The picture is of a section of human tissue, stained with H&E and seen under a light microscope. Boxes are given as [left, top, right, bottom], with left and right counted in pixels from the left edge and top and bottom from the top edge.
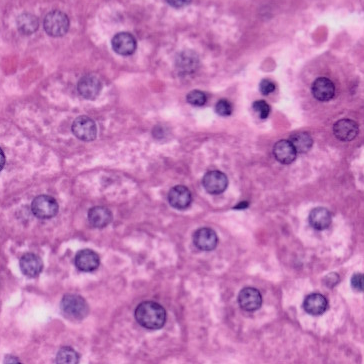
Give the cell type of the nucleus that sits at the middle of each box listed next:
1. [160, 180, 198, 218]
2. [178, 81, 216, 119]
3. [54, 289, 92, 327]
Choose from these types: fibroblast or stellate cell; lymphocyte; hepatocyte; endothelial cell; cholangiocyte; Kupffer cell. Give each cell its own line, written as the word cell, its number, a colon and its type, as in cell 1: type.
cell 1: hepatocyte
cell 2: Kupffer cell
cell 3: endothelial cell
